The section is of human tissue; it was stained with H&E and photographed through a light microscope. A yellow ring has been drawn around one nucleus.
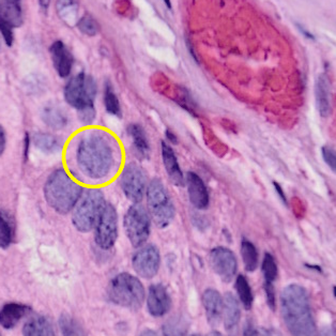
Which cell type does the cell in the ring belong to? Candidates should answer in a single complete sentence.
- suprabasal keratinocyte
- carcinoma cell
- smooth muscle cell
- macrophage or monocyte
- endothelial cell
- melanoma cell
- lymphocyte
For the purposes of cell typing, the cell in the ring is categorized as a carcinoma cell.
